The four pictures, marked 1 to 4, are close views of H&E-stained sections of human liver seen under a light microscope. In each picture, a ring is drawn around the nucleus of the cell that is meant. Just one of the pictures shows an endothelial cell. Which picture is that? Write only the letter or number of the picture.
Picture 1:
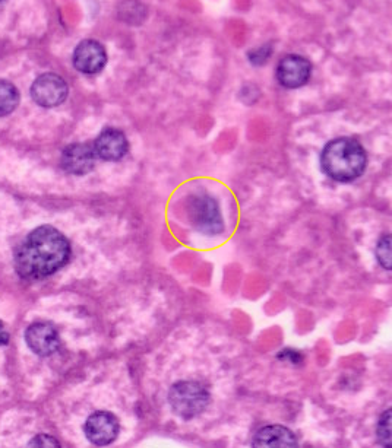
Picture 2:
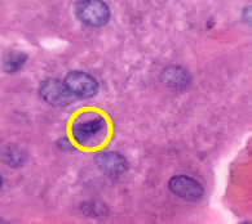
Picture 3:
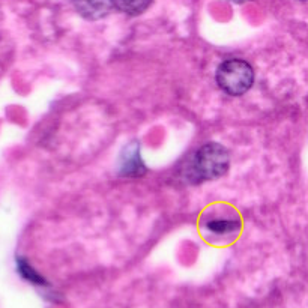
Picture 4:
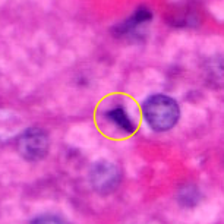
1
